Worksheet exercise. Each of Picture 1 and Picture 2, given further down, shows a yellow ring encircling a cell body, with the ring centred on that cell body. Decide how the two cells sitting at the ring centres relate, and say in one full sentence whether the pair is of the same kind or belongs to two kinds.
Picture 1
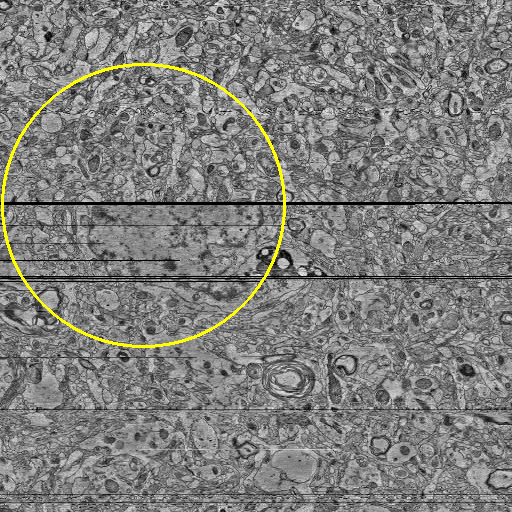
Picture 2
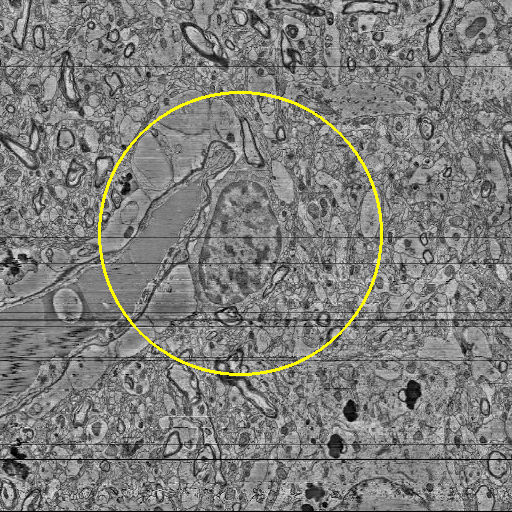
The cells at the ring centres in Picture 1 and Picture 2 belong to two kinds.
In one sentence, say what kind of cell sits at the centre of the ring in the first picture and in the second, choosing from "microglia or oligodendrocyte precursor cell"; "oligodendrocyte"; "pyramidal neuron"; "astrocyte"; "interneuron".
The first picture's ringed cell is an interneuron, while the second picture's is an oligodendrocyte.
